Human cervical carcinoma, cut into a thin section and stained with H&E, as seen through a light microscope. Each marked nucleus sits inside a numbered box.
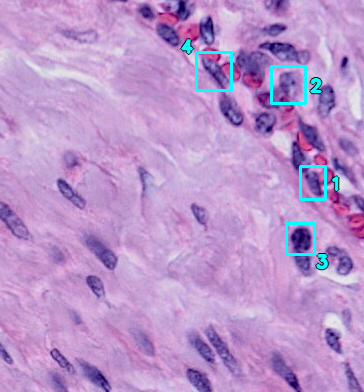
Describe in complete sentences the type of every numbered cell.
Cell 1 is an endothelial cell, cell 2 is an endothelial cell, cell 3 is a lymphocyte and cell 4 is an endothelial cell.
